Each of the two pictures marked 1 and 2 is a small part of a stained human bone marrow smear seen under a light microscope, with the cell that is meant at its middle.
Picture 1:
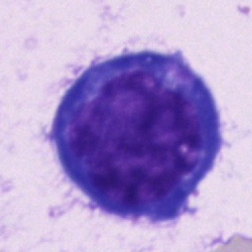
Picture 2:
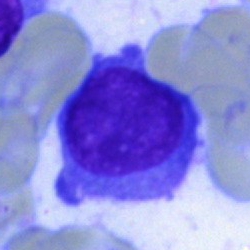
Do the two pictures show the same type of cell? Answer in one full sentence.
No, they differ: the cell is a proerythroblast in picture 1 and a plasma cell in picture 2.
